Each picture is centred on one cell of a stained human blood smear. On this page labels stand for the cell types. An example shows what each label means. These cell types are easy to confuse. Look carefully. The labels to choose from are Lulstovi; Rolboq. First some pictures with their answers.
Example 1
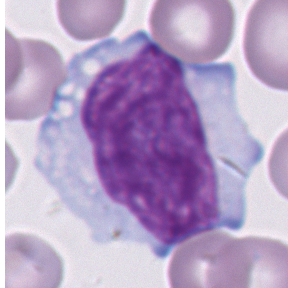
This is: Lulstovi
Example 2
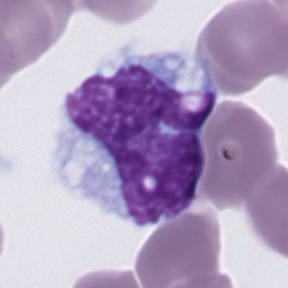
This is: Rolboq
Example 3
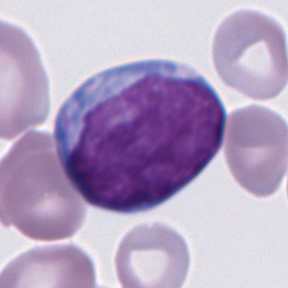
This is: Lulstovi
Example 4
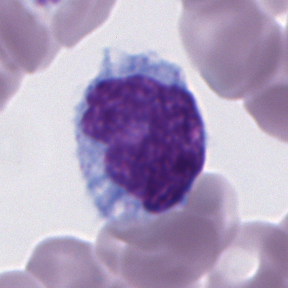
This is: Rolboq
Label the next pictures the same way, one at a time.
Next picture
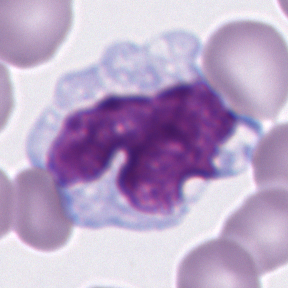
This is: Rolboq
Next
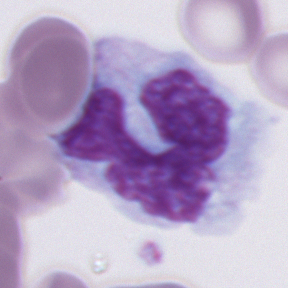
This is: Rolboq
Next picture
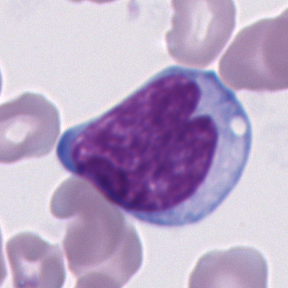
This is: Lulstovi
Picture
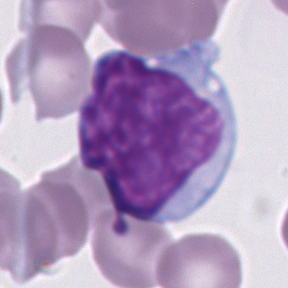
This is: Lulstovi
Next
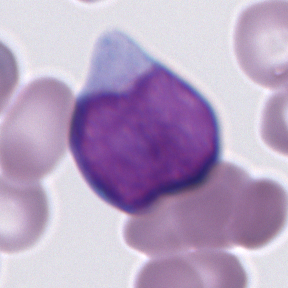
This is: Lulstovi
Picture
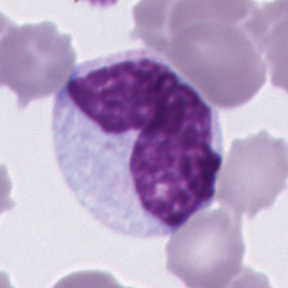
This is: Rolboq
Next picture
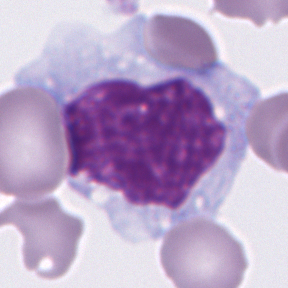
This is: Rolboq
